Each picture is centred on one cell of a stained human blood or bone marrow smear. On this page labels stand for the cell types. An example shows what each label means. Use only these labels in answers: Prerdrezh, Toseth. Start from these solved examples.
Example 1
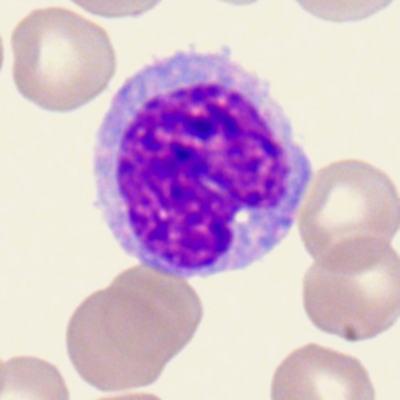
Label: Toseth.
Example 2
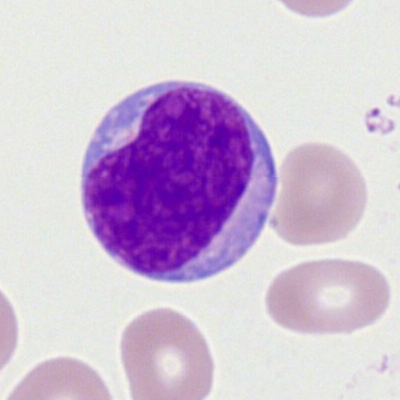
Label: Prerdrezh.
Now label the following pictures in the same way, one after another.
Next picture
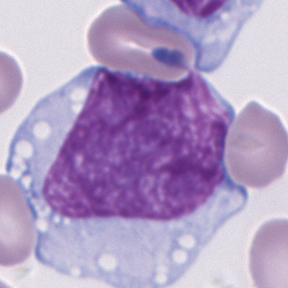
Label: Prerdrezh.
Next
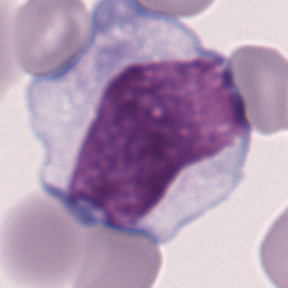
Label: Toseth.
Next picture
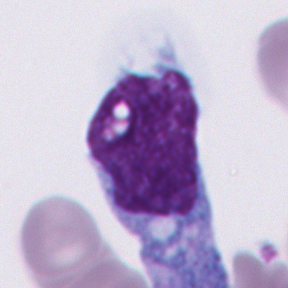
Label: Toseth.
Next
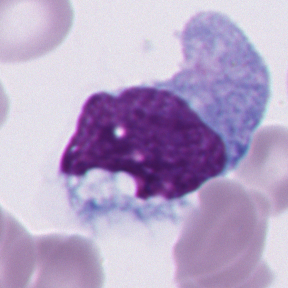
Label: Toseth.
